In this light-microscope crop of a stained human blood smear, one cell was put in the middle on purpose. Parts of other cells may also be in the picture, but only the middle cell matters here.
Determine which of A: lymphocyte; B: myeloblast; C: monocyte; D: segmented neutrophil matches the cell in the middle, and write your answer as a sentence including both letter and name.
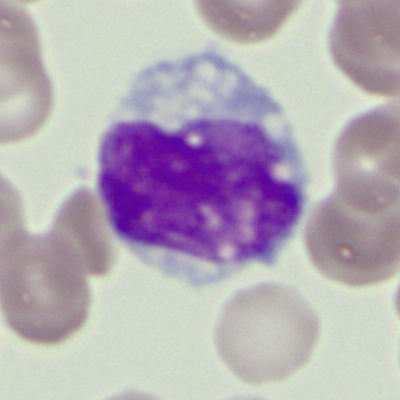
Option C is the keyed answer: the cell in the middle is a monocyte.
